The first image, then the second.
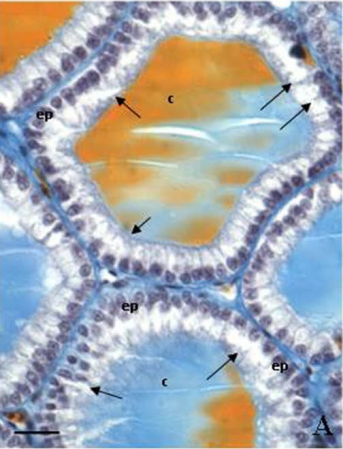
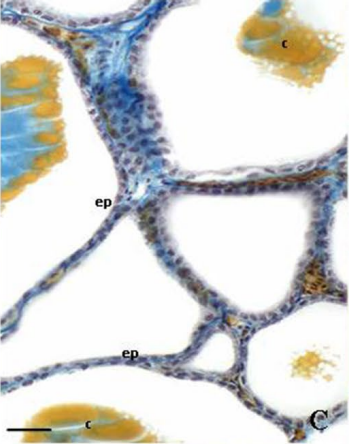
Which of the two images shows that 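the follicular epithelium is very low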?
The second image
